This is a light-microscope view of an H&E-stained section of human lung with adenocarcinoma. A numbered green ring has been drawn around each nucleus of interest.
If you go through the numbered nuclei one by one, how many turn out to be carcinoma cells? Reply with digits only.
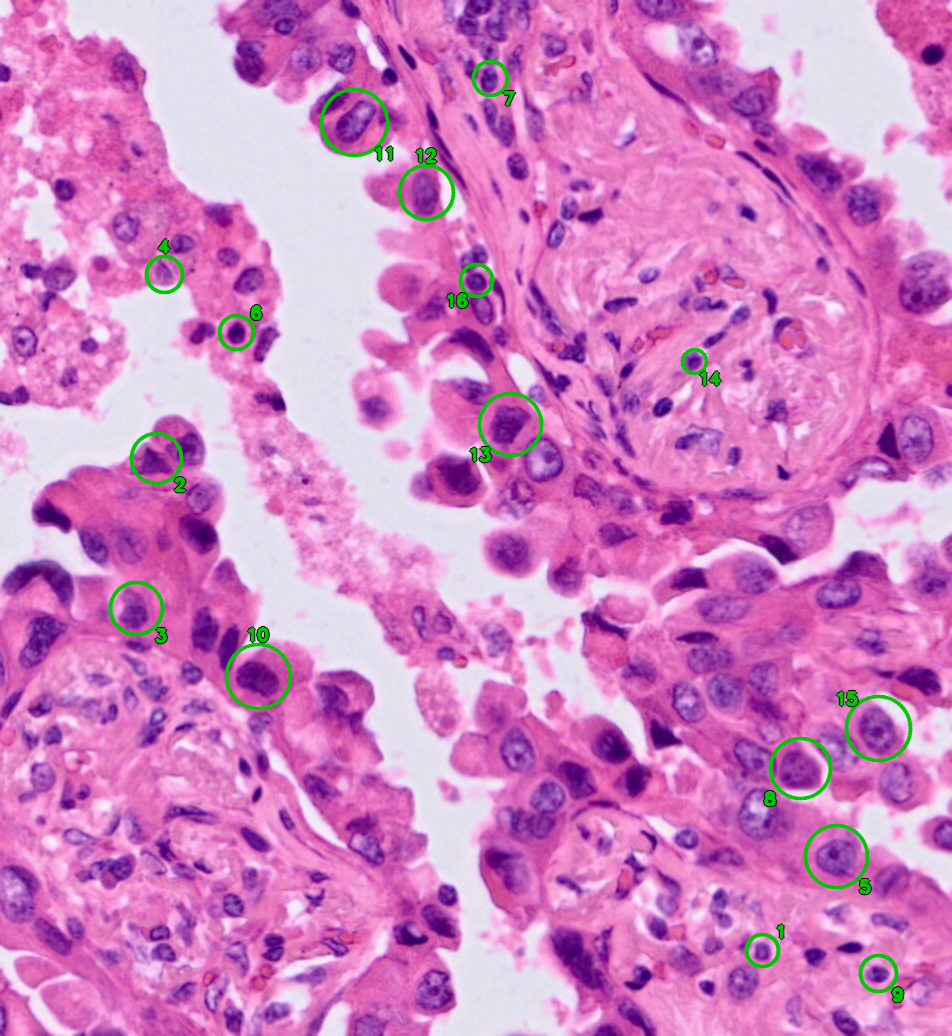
9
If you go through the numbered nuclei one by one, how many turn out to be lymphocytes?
6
